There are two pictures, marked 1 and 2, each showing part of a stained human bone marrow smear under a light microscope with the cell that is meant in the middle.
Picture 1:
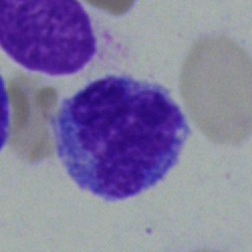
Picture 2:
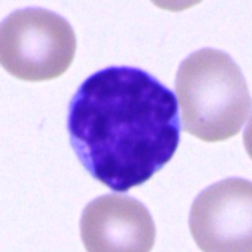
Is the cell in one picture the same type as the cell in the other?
no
